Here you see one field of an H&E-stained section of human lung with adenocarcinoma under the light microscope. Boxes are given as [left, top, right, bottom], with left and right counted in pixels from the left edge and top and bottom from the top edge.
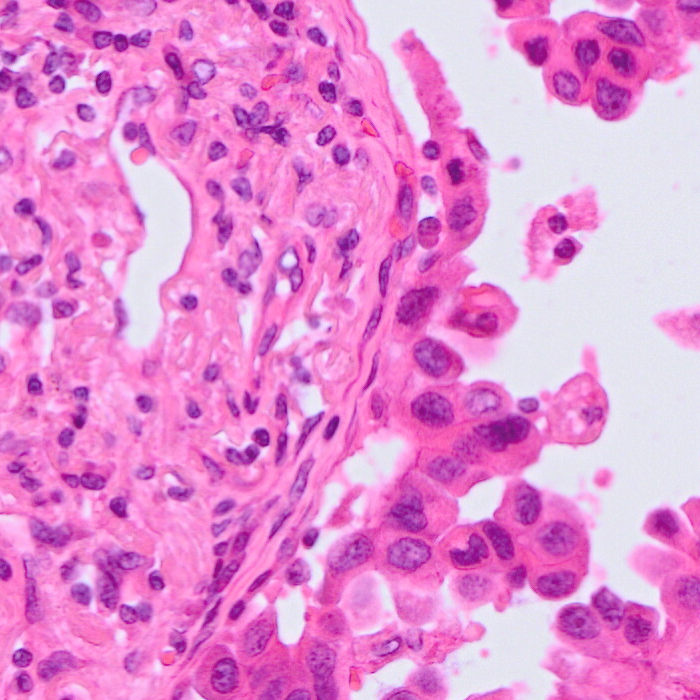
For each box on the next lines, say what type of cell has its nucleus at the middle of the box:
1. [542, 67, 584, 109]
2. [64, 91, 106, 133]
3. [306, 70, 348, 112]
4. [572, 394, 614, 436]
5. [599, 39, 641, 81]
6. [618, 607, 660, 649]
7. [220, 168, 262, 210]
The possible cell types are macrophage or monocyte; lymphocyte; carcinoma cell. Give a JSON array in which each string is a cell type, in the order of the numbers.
["carcinoma cell", "lymphocyte", "lymphocyte", "macrophage or monocyte", "carcinoma cell", "carcinoma cell", "lymphocyte"]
